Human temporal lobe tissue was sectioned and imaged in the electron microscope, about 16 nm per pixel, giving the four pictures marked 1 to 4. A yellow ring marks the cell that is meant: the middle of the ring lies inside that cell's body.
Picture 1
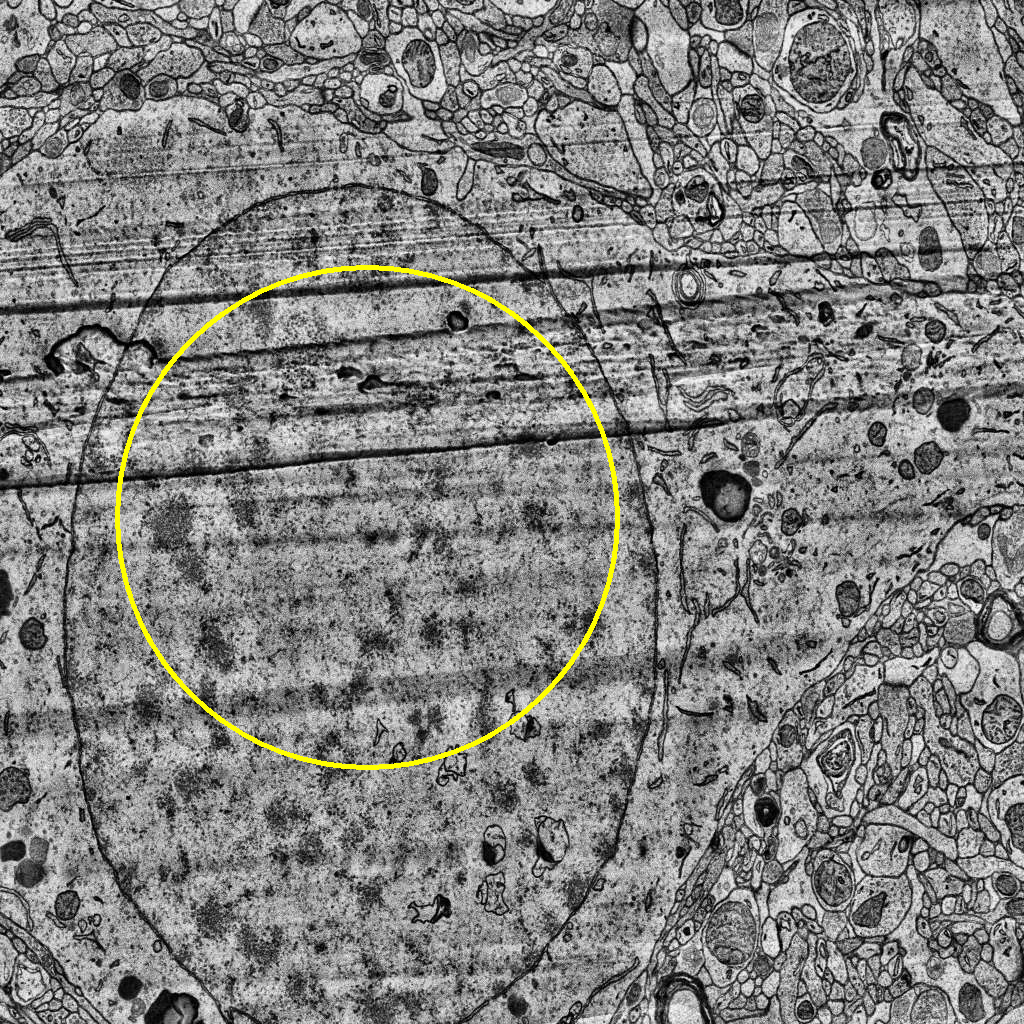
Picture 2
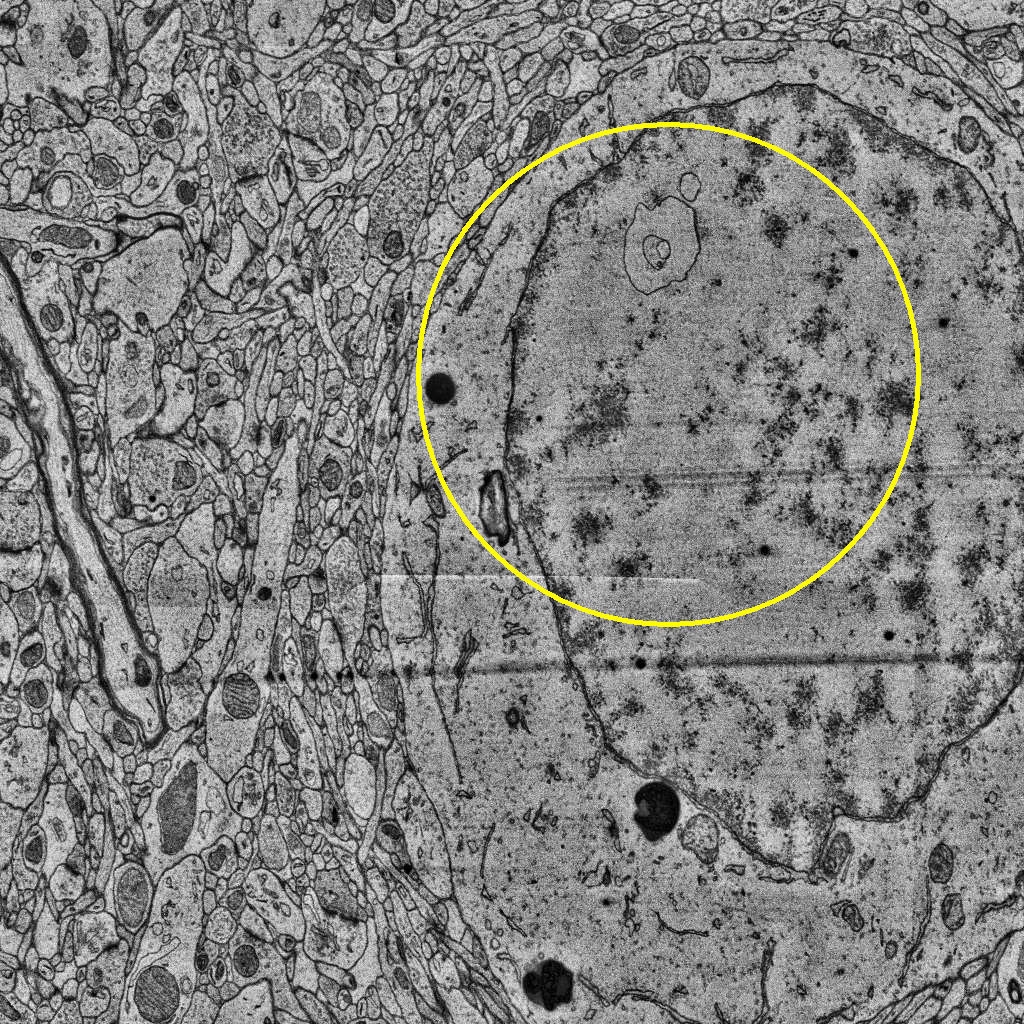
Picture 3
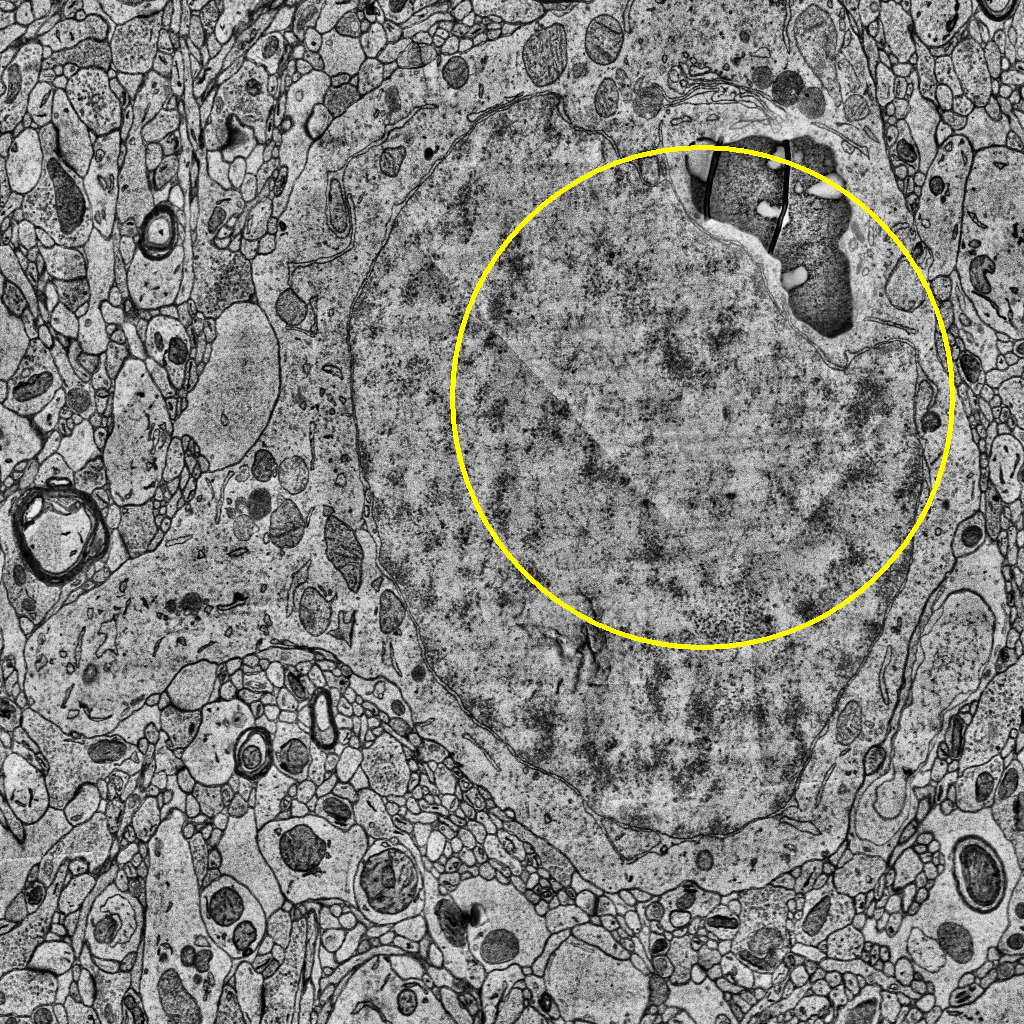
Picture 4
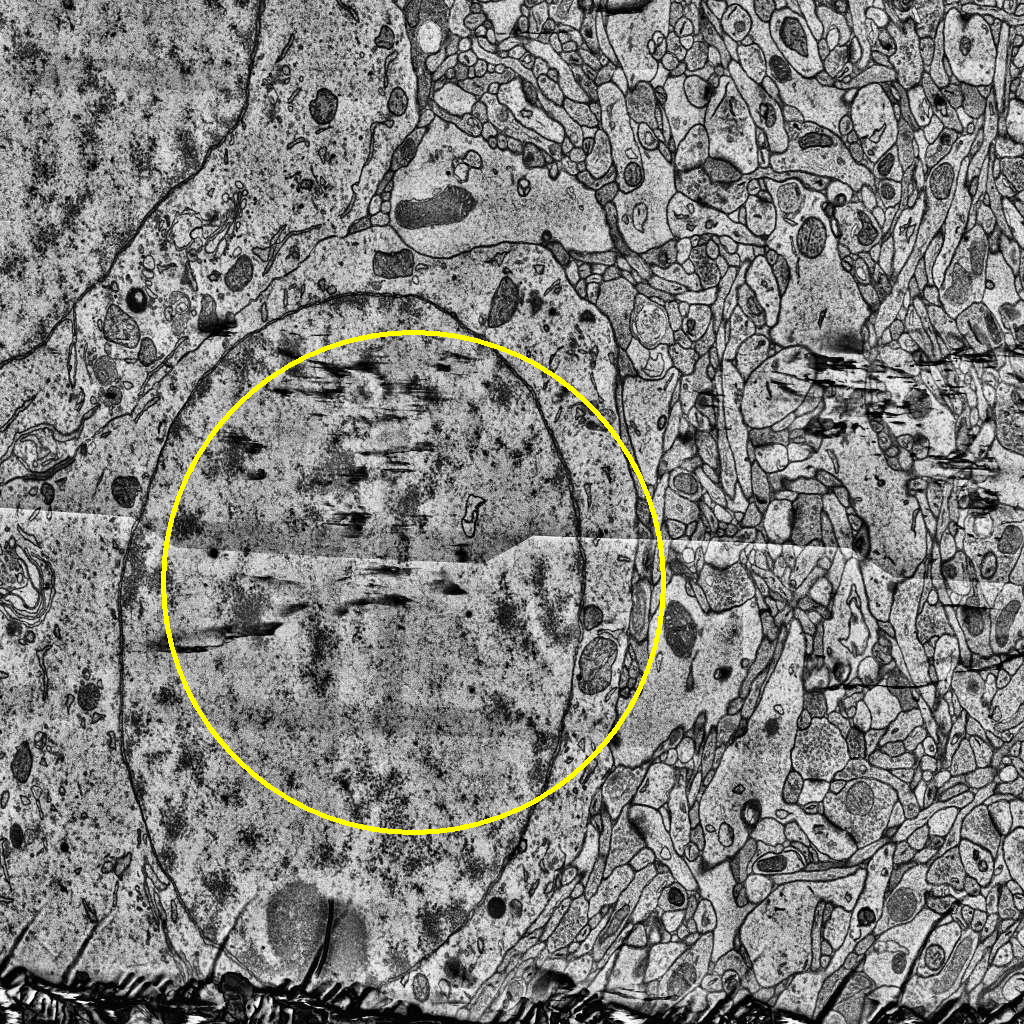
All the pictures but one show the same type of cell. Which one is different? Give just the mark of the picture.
3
